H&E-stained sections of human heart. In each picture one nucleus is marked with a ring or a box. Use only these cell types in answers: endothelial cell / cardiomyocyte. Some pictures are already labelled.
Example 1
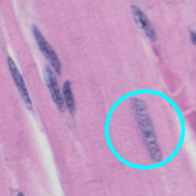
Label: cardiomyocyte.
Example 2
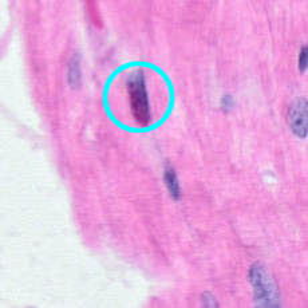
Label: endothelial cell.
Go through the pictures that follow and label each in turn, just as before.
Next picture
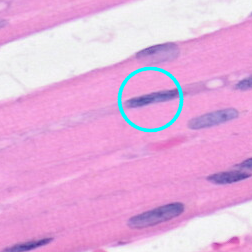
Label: endothelial cell.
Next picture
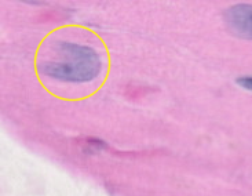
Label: cardiomyocyte.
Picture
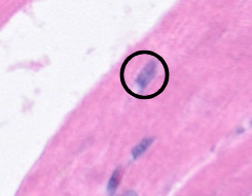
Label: endothelial cell.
